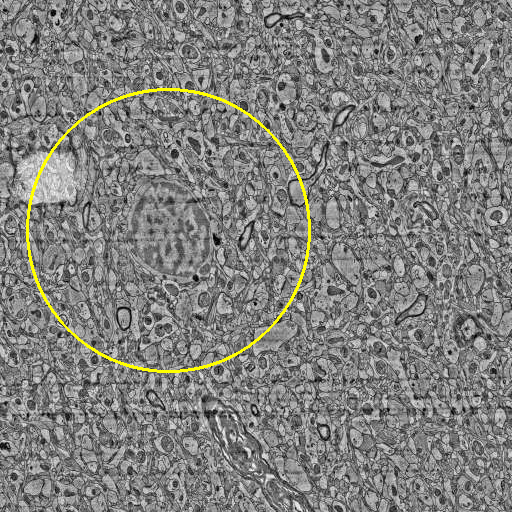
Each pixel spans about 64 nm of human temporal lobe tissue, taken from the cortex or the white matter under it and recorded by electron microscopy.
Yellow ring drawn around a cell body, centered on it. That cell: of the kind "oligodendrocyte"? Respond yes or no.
yes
